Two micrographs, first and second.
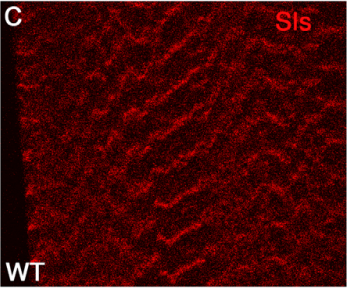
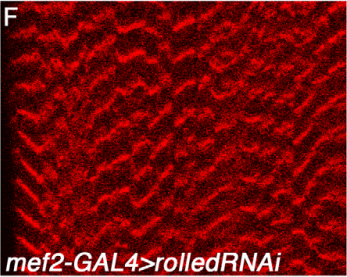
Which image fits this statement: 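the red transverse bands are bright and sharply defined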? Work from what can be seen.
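The second image. First image: red bands are faint, thin and speckled, barely above background.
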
